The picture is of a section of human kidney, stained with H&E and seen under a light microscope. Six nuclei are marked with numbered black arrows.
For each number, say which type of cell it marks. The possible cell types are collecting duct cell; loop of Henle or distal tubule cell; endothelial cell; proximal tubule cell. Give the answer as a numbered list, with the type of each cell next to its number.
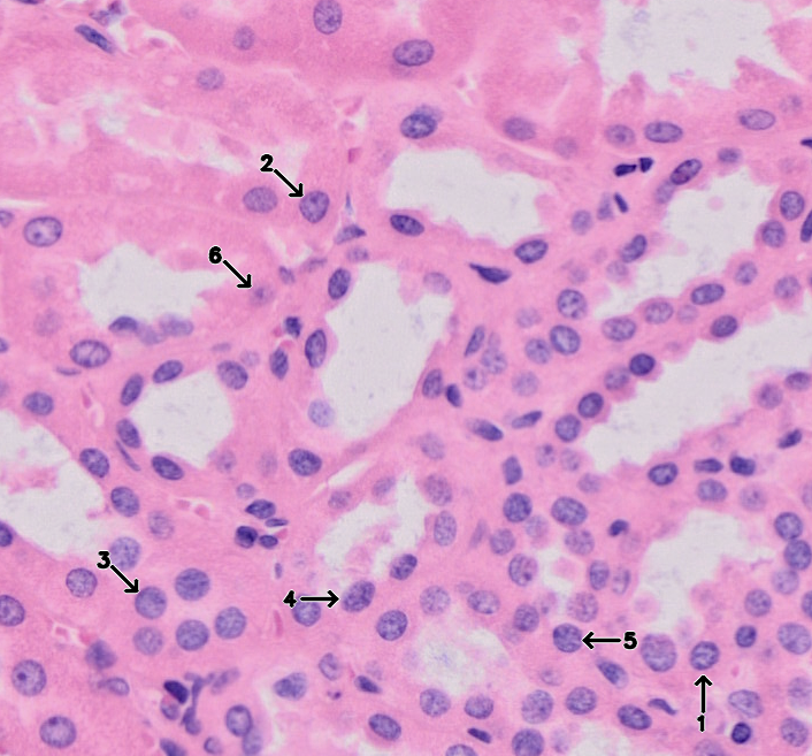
1. loop of Henle or distal tubule cell
2. proximal tubule cell
3. loop of Henle or distal tubule cell
4. loop of Henle or distal tubule cell
5. loop of Henle or distal tubule cell
6. proximal tubule cell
